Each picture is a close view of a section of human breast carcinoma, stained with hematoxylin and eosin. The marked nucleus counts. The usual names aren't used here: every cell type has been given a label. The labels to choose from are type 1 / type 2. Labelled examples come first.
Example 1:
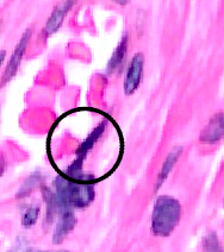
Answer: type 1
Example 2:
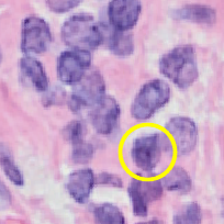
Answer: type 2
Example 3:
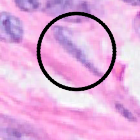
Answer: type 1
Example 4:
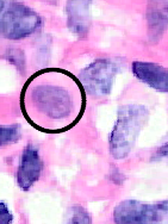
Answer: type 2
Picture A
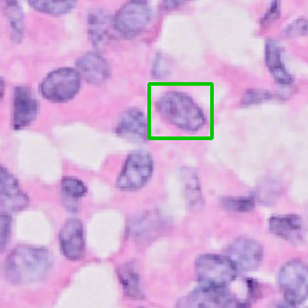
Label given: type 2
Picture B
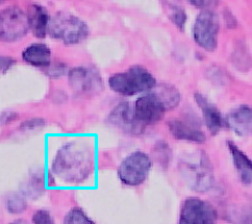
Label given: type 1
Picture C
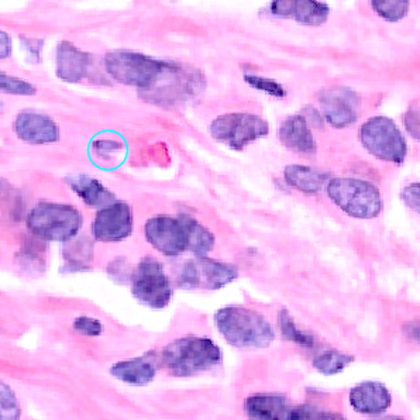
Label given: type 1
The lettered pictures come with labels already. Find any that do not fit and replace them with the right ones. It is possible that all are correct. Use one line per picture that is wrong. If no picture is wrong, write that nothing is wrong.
Wrong: B (type 1); correct: type 2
